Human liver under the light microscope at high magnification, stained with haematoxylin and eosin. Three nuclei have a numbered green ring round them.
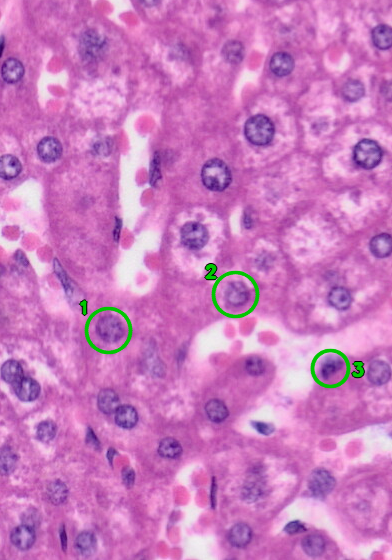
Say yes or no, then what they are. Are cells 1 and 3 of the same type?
No, cell 1 is a hepatocyte and cell 3 is an endothelial cell.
